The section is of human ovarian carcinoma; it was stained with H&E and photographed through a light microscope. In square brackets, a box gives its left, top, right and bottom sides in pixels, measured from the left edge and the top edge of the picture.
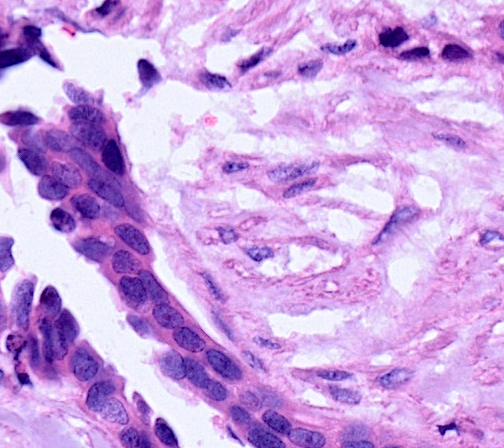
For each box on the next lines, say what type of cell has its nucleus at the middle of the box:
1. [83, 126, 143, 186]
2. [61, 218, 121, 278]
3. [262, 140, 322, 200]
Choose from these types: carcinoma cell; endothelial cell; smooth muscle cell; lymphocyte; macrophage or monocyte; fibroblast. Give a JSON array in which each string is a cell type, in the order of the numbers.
["carcinoma cell", "carcinoma cell", "fibroblast"]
